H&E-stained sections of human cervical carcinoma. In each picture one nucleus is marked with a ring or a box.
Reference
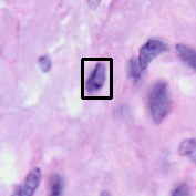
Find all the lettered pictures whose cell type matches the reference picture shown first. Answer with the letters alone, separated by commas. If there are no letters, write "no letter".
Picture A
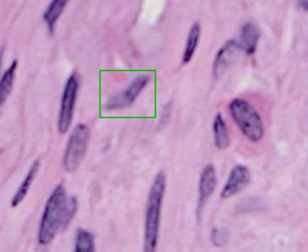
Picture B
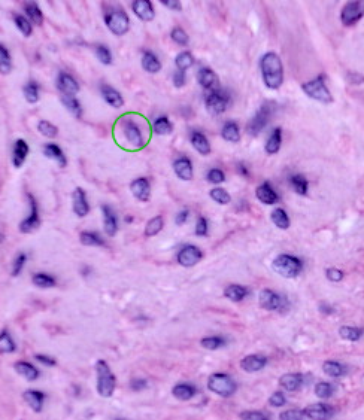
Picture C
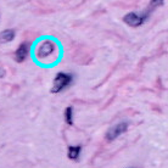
A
